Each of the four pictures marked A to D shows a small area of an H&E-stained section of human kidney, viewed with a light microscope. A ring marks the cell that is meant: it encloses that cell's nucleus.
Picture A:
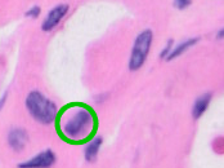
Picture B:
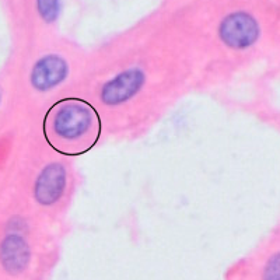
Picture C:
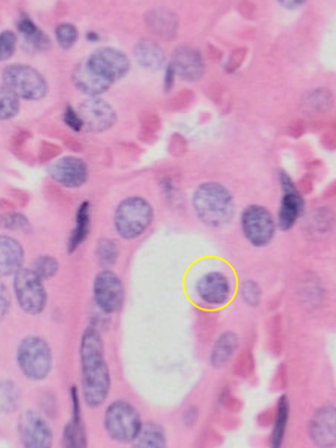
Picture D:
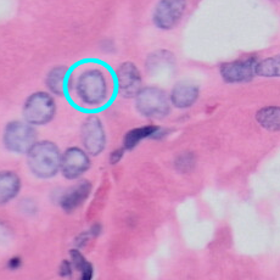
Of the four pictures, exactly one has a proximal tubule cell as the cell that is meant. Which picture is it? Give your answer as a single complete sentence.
The picture with the proximal tubule cell is B.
